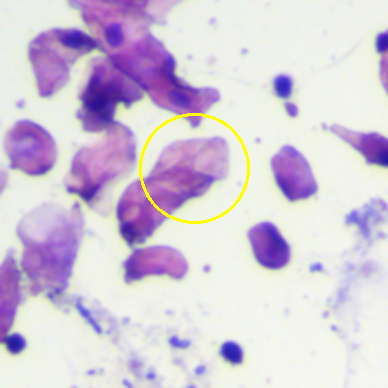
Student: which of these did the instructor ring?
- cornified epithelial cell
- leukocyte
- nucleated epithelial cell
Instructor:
The cell I ringed is a cornified epithelial cell.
